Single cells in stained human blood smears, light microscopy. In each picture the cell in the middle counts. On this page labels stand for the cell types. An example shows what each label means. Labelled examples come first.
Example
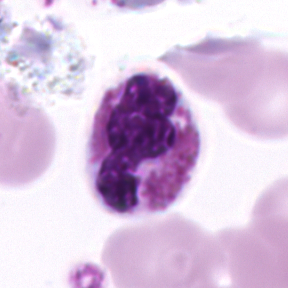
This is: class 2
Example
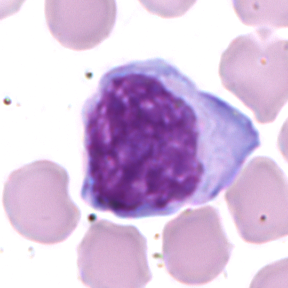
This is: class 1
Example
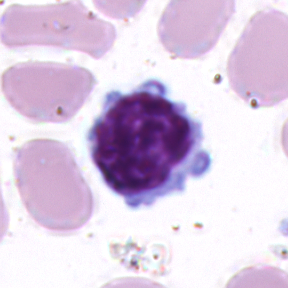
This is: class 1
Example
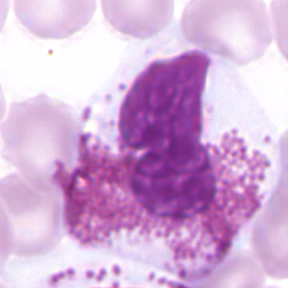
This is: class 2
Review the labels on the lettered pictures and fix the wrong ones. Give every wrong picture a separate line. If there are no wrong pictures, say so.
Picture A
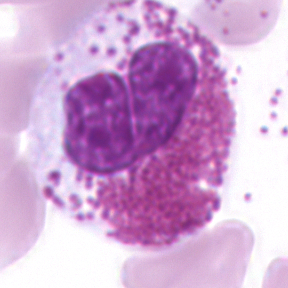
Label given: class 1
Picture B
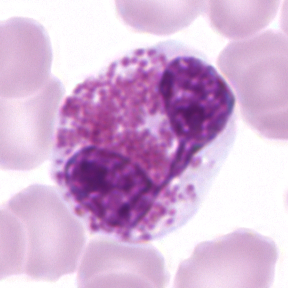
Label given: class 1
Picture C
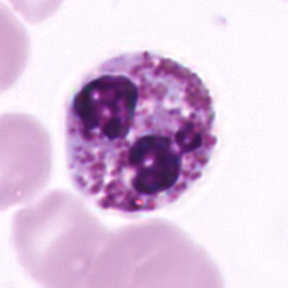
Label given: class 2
A should be class 2, not class 1
B should be class 2, not class 1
